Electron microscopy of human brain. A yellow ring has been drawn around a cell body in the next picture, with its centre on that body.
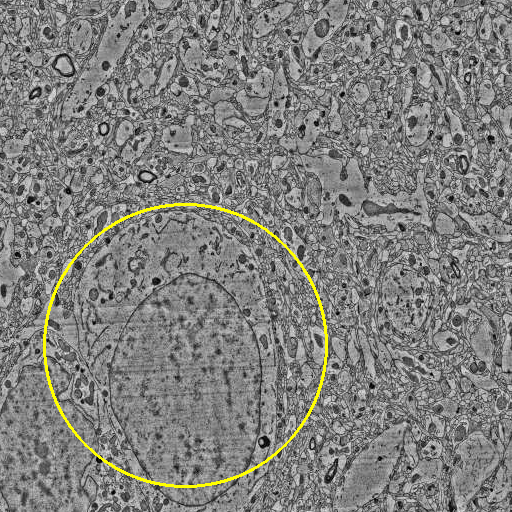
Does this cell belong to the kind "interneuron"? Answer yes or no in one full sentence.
No, the ringed cell in this picture, sitting at the ring's centre, is of another kind.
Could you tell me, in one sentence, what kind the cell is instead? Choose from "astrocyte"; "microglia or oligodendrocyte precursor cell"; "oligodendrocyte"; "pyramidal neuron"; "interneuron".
Instead, the ring in this picture marks a pyramidal neuron.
